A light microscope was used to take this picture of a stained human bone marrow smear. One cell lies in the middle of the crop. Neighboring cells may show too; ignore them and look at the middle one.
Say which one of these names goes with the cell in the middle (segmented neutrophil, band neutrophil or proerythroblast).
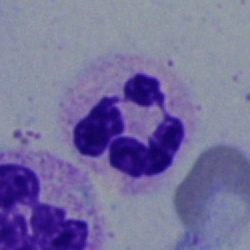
segmented neutrophil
